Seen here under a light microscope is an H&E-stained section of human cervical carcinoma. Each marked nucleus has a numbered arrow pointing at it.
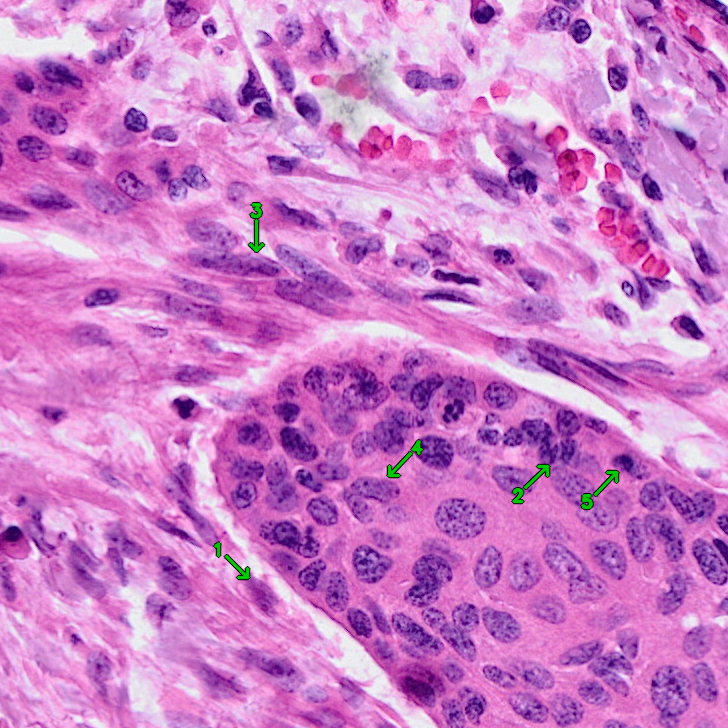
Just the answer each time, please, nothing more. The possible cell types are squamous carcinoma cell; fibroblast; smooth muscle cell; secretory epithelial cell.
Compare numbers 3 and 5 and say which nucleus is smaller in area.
5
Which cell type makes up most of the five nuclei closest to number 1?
squamous carcinoma cell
